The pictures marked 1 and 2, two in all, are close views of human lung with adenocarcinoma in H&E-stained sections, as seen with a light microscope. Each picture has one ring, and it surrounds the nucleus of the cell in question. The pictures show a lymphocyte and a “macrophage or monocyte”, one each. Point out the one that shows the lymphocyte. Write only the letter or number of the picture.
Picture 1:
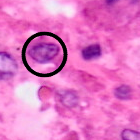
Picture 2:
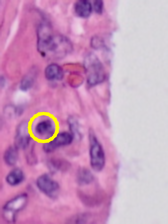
2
